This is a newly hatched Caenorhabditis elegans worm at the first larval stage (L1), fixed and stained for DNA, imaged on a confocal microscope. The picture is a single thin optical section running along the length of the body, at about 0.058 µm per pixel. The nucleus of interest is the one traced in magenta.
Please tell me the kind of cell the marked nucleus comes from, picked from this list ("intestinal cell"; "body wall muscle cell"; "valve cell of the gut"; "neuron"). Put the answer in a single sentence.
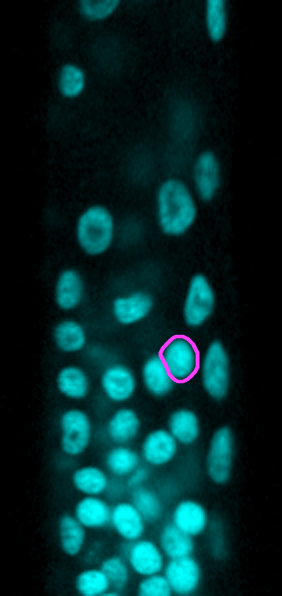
The marked cell is a neuron.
